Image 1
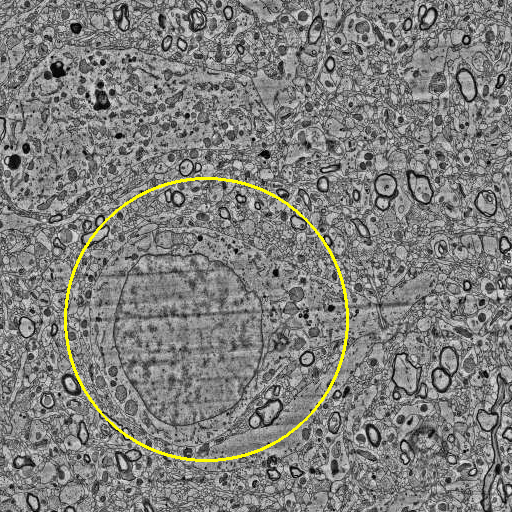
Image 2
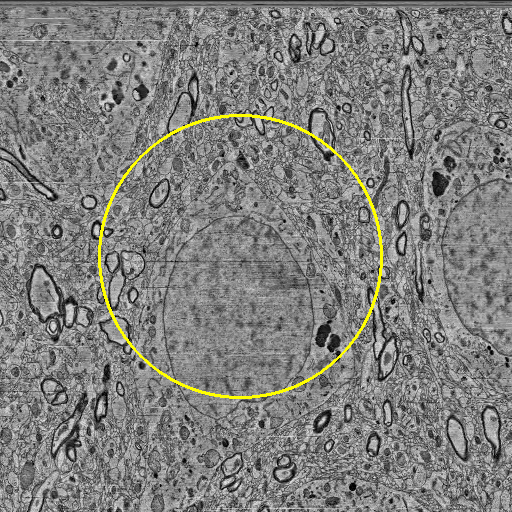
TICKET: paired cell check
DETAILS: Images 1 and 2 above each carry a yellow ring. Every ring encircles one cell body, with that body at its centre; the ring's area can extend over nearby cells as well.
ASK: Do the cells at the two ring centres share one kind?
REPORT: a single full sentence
Yes, the ring-centre cells of Images 1 and 2 belong to a single kind.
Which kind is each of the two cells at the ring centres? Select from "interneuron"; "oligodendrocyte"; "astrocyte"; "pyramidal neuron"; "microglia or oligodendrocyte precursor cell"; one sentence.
Both rings mark a pyramidal neuron, one in each picture.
